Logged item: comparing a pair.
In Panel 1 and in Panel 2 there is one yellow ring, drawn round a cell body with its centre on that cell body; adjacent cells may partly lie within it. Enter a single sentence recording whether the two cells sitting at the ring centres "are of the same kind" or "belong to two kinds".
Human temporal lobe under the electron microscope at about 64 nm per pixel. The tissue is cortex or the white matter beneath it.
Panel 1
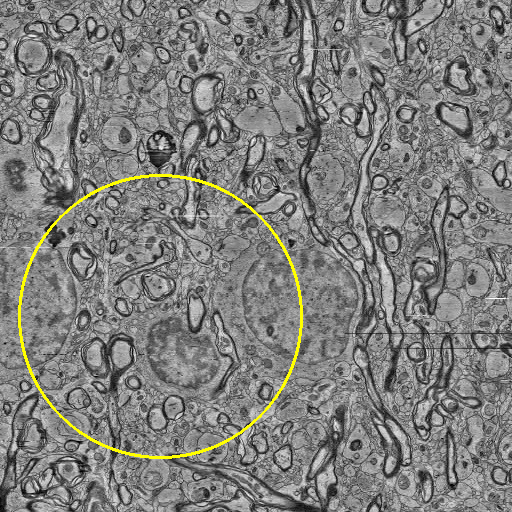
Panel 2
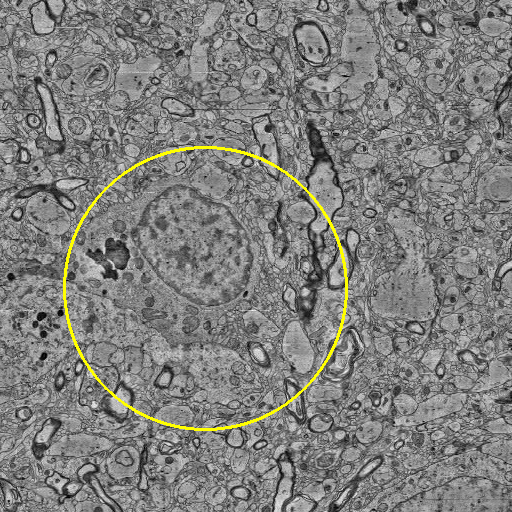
Logged: the cells centred in the rings of Panel 1 and Panel 2 are of the same kind.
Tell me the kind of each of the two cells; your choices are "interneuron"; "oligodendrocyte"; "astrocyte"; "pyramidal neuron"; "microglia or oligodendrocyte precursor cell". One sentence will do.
Each of the two cells is an oligodendrocyte.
